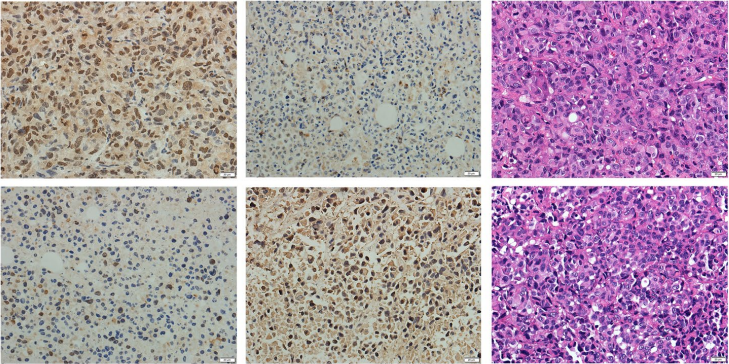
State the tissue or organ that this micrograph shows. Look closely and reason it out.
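Tumour. Solid sheets of densely packed cells without normal glandular or layered architecture. Nuclei vary in size and shape, many large and irregular. Little stroma separates the cells.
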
